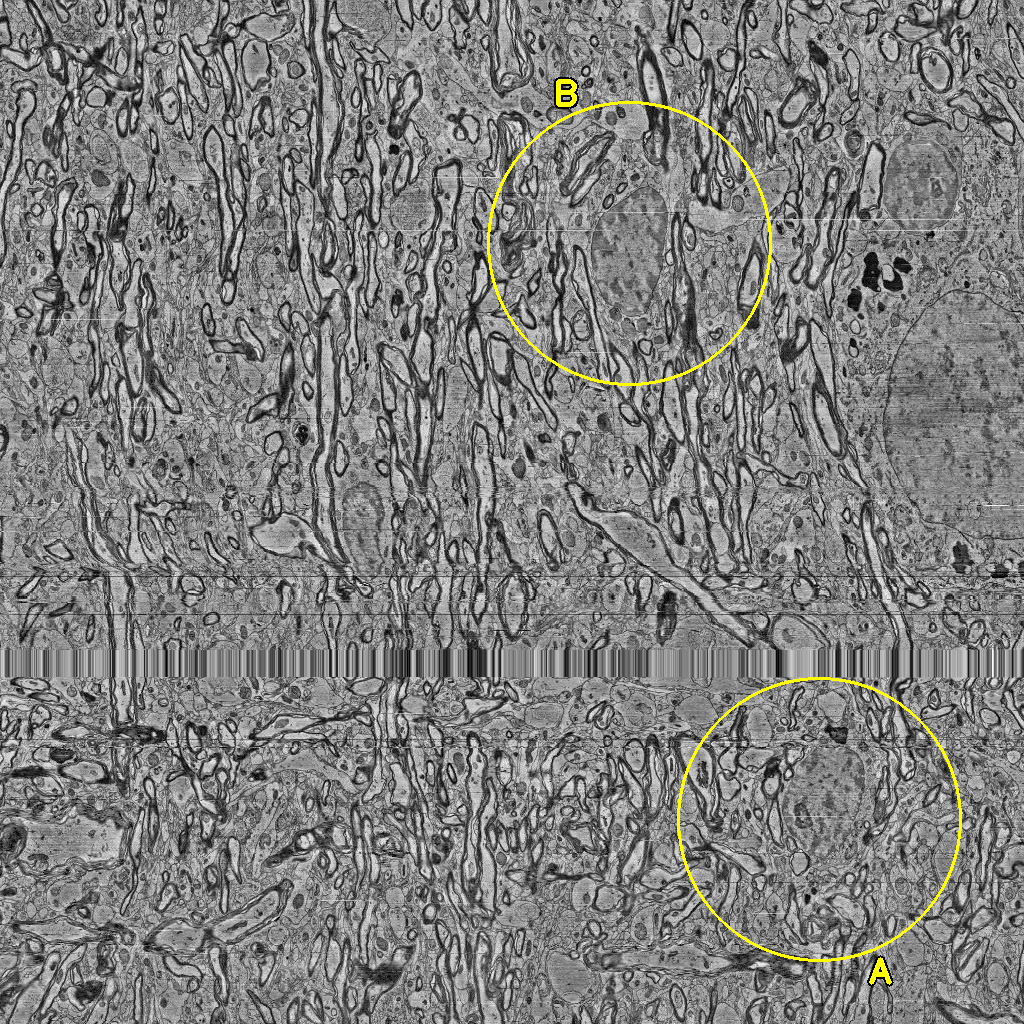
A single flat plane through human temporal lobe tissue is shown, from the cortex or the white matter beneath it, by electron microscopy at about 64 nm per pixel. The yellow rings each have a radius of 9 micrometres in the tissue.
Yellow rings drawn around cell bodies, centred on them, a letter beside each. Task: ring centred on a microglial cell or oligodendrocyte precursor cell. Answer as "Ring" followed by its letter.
Ring B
